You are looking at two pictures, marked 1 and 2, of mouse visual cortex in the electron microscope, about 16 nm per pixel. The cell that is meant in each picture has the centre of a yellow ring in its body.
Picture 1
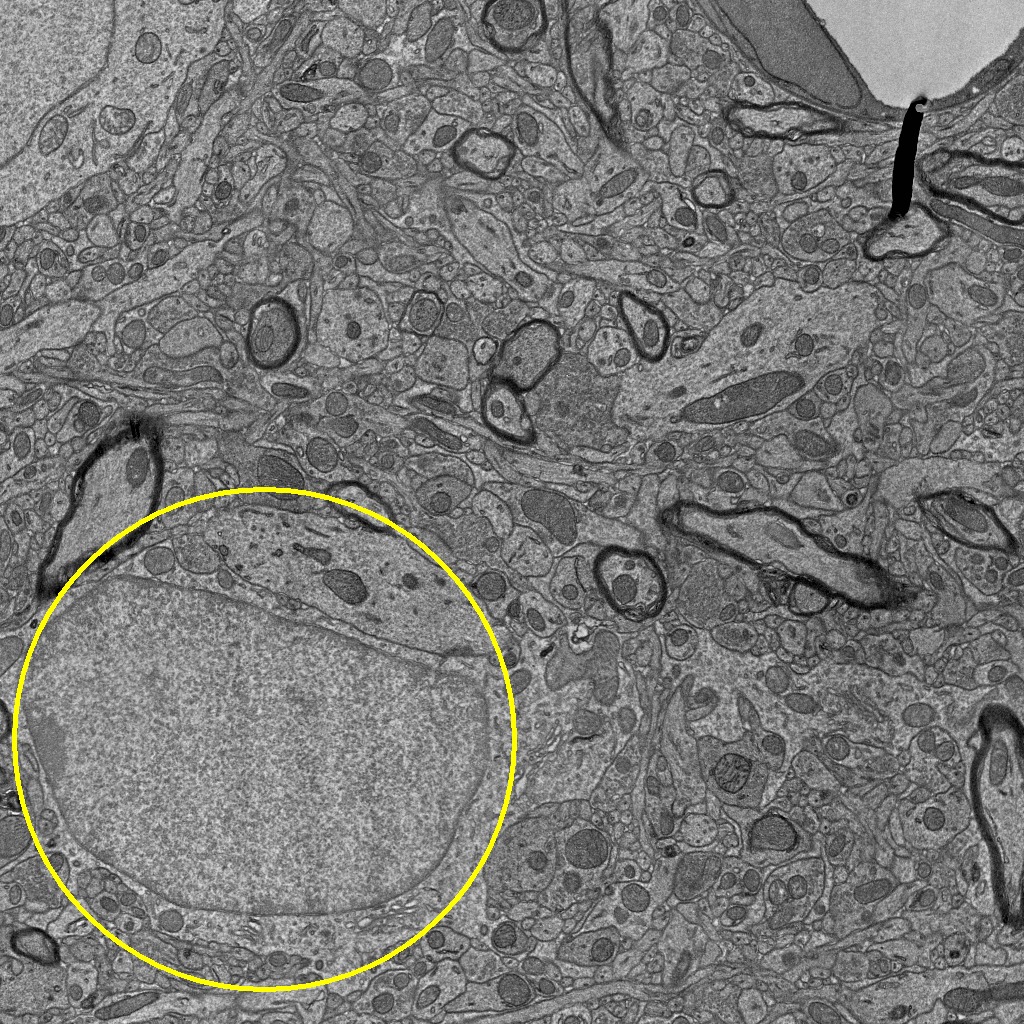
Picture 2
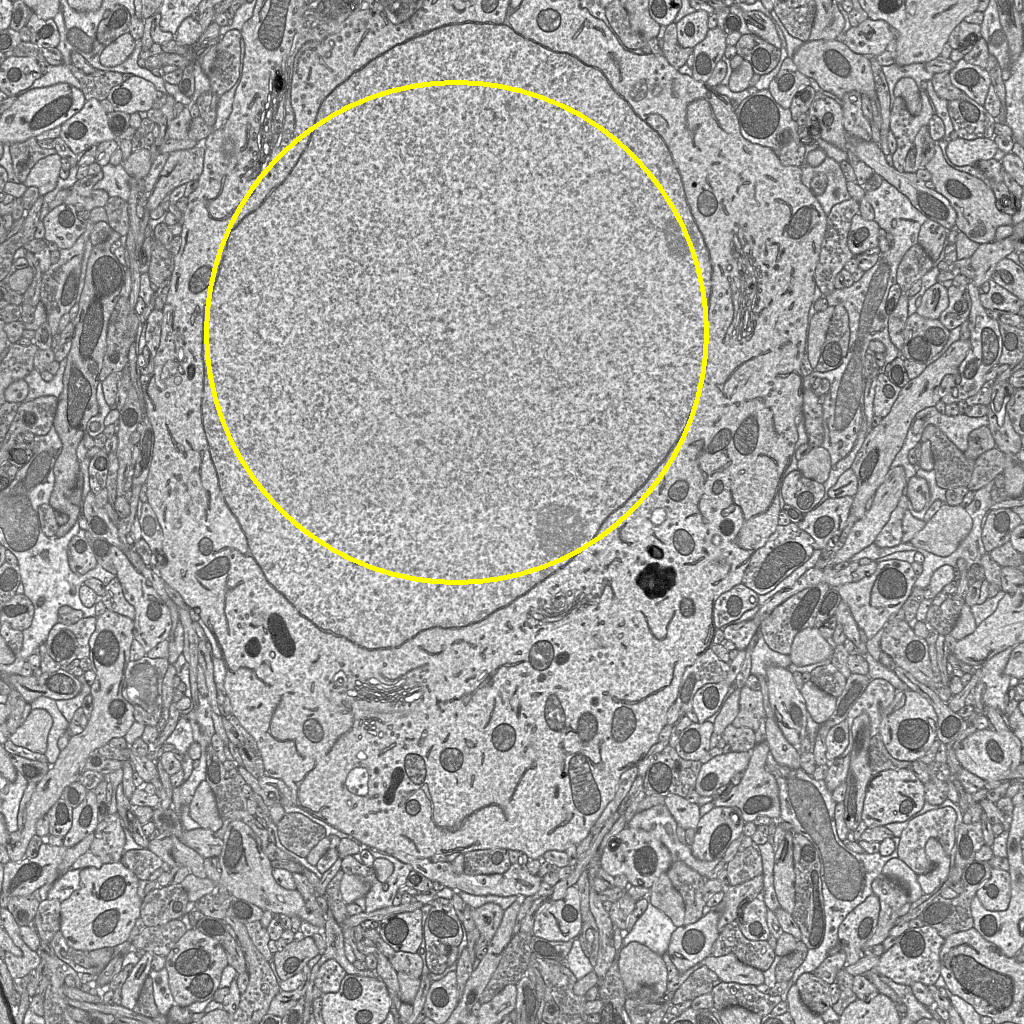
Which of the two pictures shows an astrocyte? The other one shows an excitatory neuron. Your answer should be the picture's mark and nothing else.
1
